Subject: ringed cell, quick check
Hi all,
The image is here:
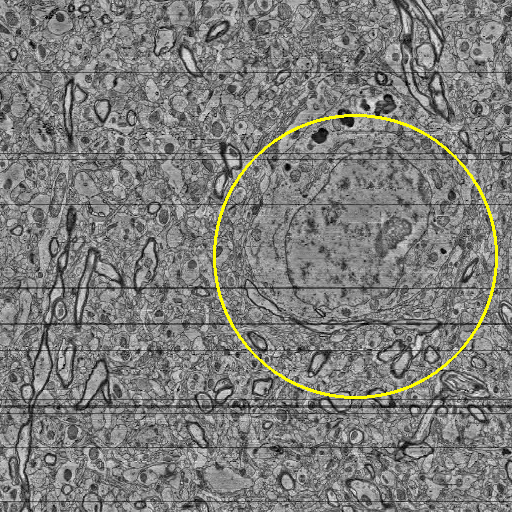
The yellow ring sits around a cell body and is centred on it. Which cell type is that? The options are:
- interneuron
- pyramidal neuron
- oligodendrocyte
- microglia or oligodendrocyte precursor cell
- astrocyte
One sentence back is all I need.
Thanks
That ringed cell is a pyramidal neuron.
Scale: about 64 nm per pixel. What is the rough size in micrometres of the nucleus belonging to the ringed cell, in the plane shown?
Approximately 12 micrometres long and 9 micrometres wide, in this plane.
